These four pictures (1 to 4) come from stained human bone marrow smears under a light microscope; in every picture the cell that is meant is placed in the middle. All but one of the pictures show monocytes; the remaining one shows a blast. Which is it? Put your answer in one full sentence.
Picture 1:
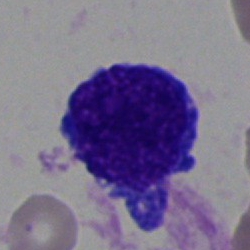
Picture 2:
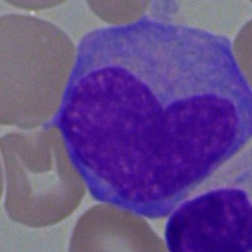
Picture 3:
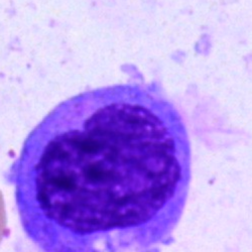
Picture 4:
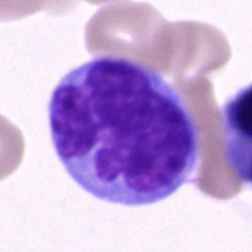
It is picture 1 that shows the blast.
